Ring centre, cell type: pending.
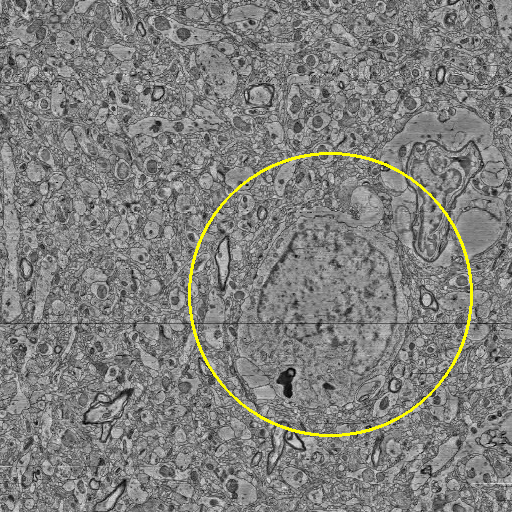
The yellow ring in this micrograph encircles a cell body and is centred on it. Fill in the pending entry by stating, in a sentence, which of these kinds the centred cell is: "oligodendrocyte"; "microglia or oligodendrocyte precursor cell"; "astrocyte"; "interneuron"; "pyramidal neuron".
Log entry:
The centred cell is recorded as an interneuron.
